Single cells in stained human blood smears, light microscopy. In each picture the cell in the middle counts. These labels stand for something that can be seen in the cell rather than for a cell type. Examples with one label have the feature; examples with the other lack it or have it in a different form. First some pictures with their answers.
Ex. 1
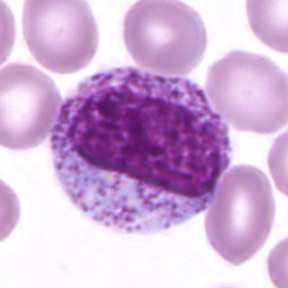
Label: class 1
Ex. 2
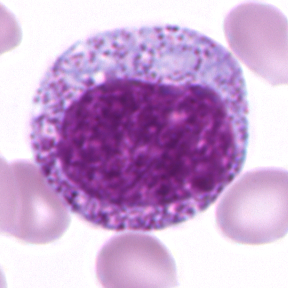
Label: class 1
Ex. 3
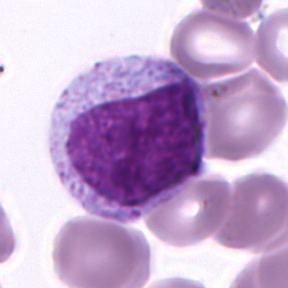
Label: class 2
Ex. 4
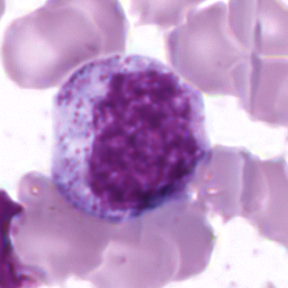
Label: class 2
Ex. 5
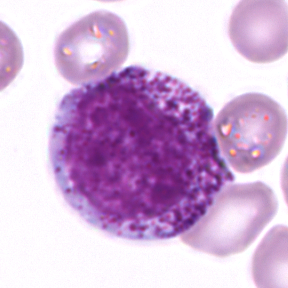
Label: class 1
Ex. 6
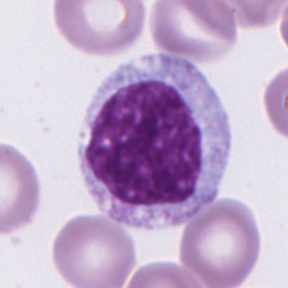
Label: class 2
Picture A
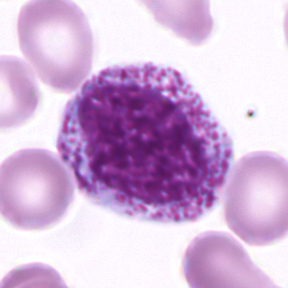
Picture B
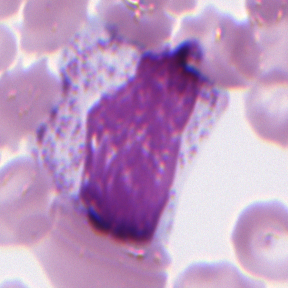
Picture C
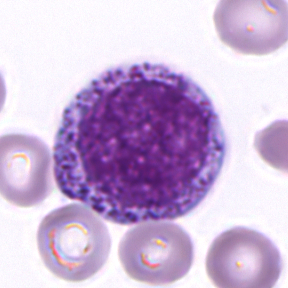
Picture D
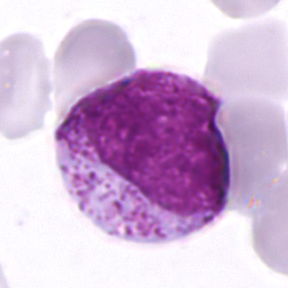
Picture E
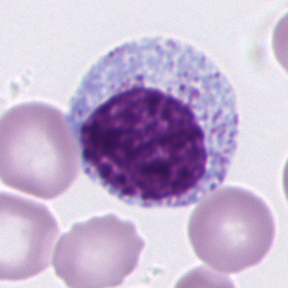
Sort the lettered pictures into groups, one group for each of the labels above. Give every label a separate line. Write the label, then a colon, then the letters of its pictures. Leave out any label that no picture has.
class 1: A, C, D
class 2: B, E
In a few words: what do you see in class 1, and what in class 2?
class 1, coarse or large granules; class 2, fine or small granules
